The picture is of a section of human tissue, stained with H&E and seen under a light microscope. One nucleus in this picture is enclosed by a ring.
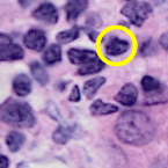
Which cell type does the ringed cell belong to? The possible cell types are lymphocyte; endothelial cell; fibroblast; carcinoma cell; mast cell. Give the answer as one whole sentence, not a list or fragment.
What the ringed cell represents is a lymphocyte.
